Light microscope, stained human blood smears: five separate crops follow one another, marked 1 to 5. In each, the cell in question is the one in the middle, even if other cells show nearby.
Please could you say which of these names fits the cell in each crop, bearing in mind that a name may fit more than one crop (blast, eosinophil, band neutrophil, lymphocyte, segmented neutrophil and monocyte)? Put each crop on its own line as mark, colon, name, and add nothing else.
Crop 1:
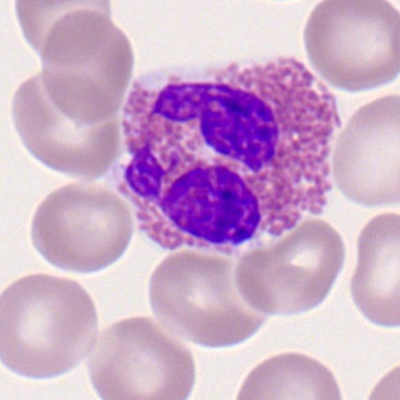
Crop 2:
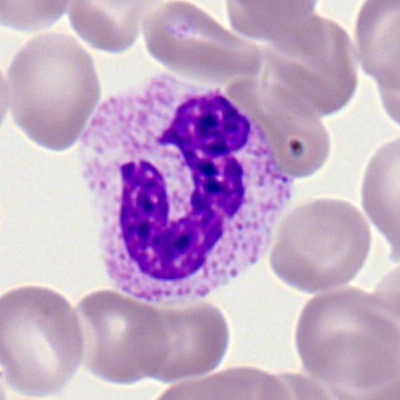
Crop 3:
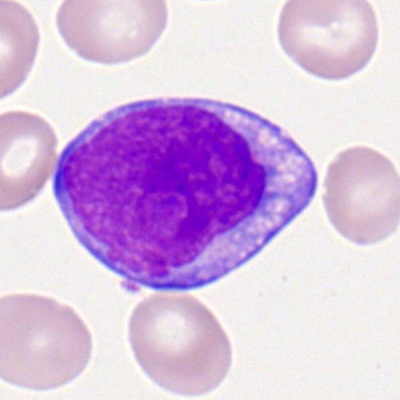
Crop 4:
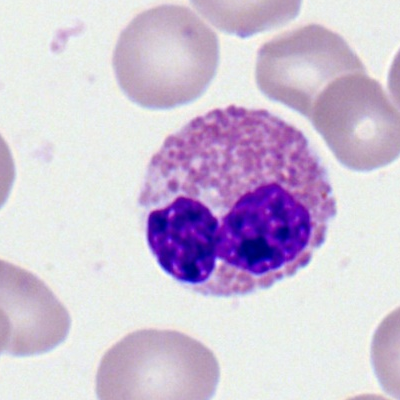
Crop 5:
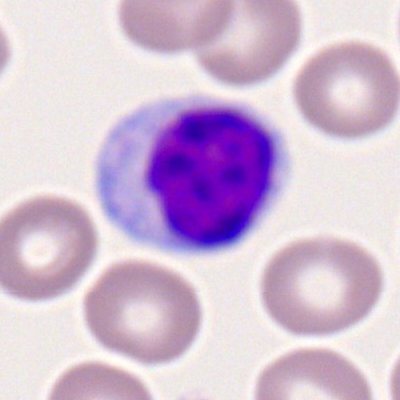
1: eosinophil
2: band neutrophil
3: blast
4: eosinophil
5: lymphocyte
